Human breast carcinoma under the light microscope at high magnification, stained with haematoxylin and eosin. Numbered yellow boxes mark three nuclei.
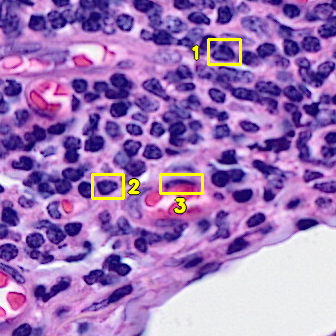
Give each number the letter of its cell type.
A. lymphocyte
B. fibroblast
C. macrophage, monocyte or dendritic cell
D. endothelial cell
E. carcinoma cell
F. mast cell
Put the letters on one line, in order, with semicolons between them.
A; A; D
